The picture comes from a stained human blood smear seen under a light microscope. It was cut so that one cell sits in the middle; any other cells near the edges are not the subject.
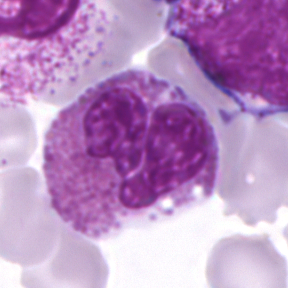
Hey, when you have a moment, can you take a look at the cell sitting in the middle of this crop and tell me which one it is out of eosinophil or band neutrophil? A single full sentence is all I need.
The cell positioned in the middle of the field is an eosinophil.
